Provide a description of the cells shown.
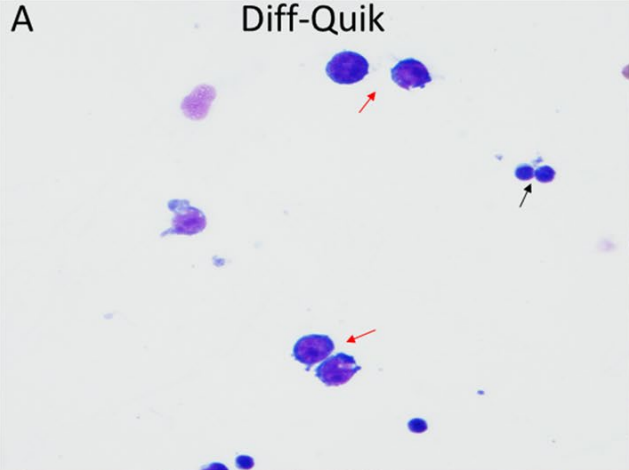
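This cytospin shows scattered single lymphoid cells of two sizes on a clean, pale background. Several large, atypical lymphocytes stand out: their purple nuclei fill nearly the whole cell, leaving only a thin rim of blue cytoplasm, and the nuclear outlines are uneven and notched rather than smoothly round. Some lie in pairs. Beside them are a few small lymphocytes, much smaller, with round, dense, dark purple nuclei and barely any cytoplasm. Comparing the two sizes side by side is the easiest way to see how enlarged and irregular the atypical cells are.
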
